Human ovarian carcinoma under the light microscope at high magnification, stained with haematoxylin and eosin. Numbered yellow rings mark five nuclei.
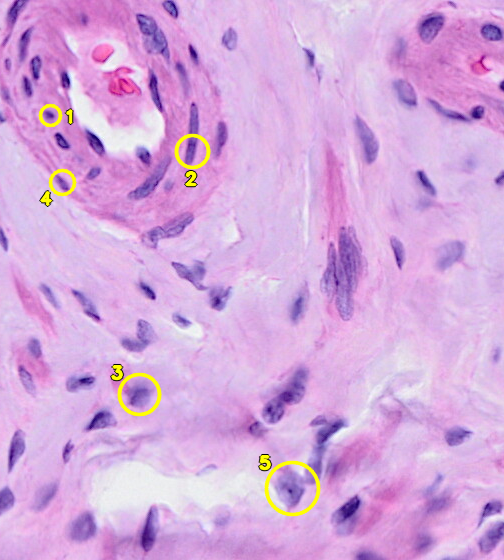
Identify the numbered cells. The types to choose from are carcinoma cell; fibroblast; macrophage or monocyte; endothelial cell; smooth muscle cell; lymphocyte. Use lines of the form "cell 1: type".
cell 1: smooth muscle cell
cell 2: smooth muscle cell
cell 3: fibroblast
cell 4: smooth muscle cell
cell 5: fibroblast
